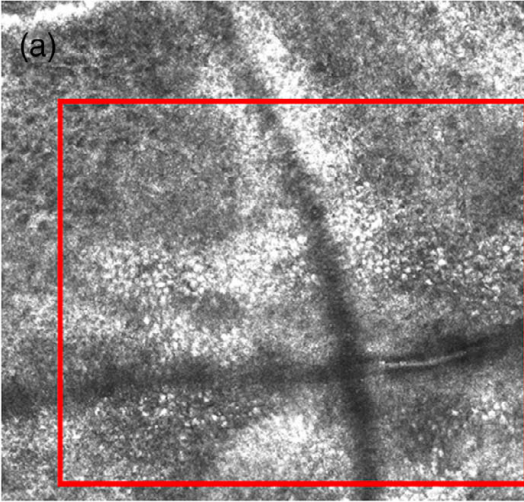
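This en-face view of the epidermis shows pigmented keratinocytes as small bright polygonal cells packed side by side in a cobblestone pattern. Bright patches of such cells alternate with darker, less reflective areas, and broad dark bands cross the field.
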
